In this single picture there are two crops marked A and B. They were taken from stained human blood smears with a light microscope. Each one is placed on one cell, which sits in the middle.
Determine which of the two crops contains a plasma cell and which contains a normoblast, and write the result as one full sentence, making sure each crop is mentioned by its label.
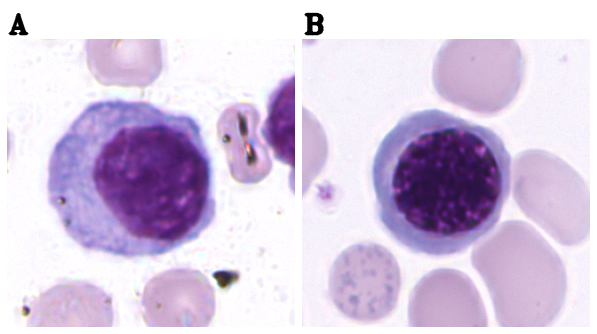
Crop A is a plasma cell, and crop B is a normoblast.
